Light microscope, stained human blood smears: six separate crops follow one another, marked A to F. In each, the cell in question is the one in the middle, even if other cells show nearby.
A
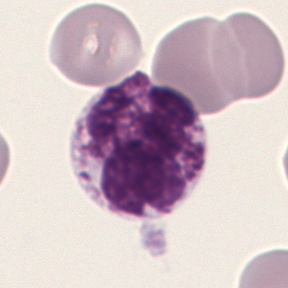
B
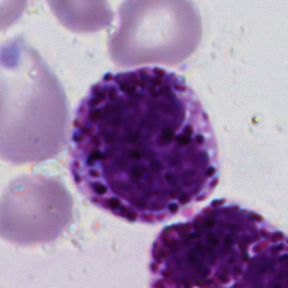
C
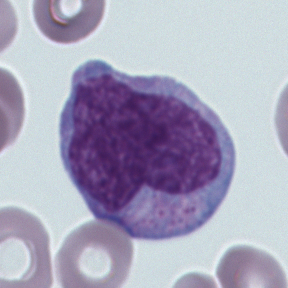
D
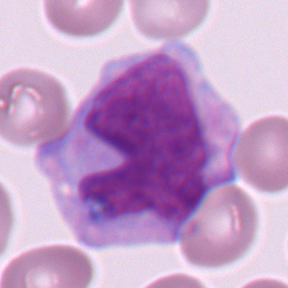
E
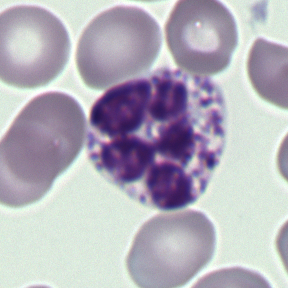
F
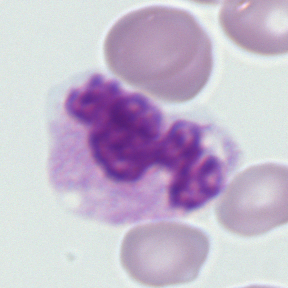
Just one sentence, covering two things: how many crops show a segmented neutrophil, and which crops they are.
The single crop showing a segmented neutrophil is crop F.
